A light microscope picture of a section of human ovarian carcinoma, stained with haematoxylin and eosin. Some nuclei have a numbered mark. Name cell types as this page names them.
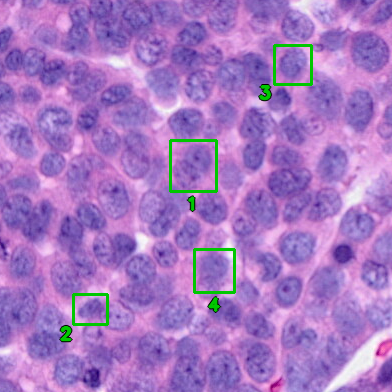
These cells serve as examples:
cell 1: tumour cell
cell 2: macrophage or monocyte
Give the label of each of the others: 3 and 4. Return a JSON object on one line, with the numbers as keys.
{"3": "tumour cell", "4": "tumour cell"}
